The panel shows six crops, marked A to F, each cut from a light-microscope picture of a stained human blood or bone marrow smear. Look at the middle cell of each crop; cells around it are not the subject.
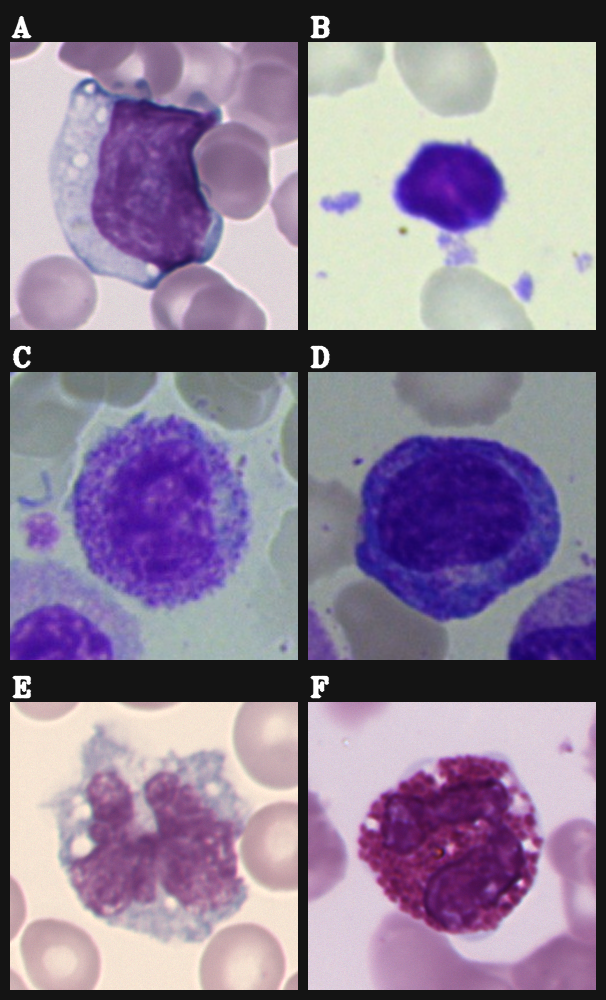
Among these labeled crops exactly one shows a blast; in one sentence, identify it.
Crop A, of the crops presented, is the one showing a blast.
